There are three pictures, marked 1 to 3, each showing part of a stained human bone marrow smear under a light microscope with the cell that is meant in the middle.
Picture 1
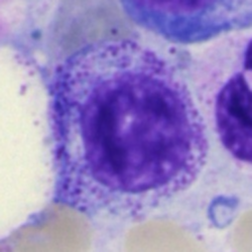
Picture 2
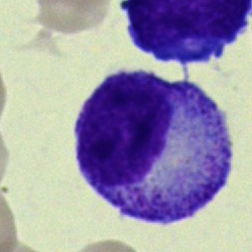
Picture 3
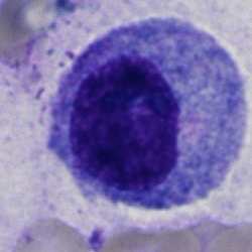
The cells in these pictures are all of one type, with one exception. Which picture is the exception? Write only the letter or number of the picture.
3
